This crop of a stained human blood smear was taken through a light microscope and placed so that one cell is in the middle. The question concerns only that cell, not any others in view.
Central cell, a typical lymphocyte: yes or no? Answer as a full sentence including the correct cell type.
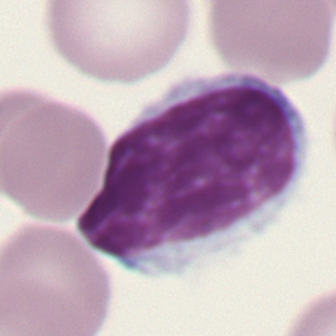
Yes, the cell found in the center of the crop is a typical lymphocyte.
